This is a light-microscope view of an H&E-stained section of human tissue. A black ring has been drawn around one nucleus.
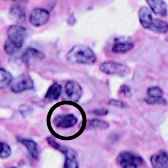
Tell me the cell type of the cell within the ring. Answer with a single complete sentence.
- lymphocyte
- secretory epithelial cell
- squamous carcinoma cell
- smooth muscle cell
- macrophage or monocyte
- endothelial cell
Assigned to a cell type, the cell within the ring is a lymphocyte.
